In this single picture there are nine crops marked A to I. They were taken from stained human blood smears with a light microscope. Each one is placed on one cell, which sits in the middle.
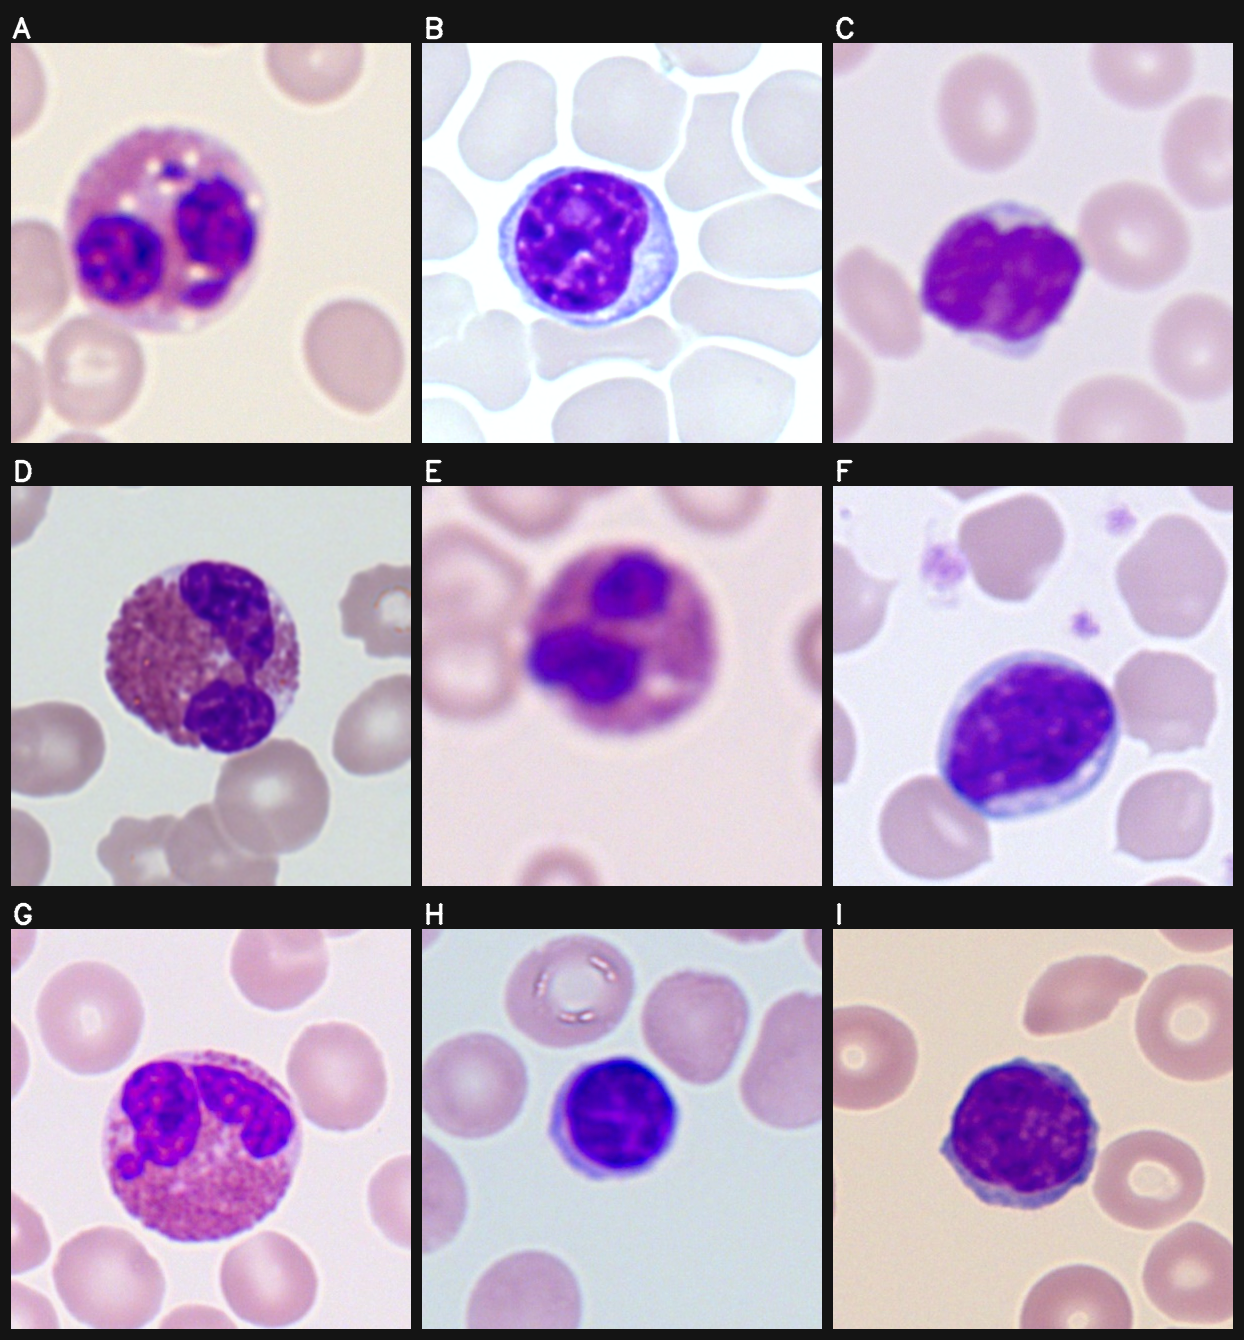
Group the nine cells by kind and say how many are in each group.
lymphocyte: 5
eosinophil: 4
